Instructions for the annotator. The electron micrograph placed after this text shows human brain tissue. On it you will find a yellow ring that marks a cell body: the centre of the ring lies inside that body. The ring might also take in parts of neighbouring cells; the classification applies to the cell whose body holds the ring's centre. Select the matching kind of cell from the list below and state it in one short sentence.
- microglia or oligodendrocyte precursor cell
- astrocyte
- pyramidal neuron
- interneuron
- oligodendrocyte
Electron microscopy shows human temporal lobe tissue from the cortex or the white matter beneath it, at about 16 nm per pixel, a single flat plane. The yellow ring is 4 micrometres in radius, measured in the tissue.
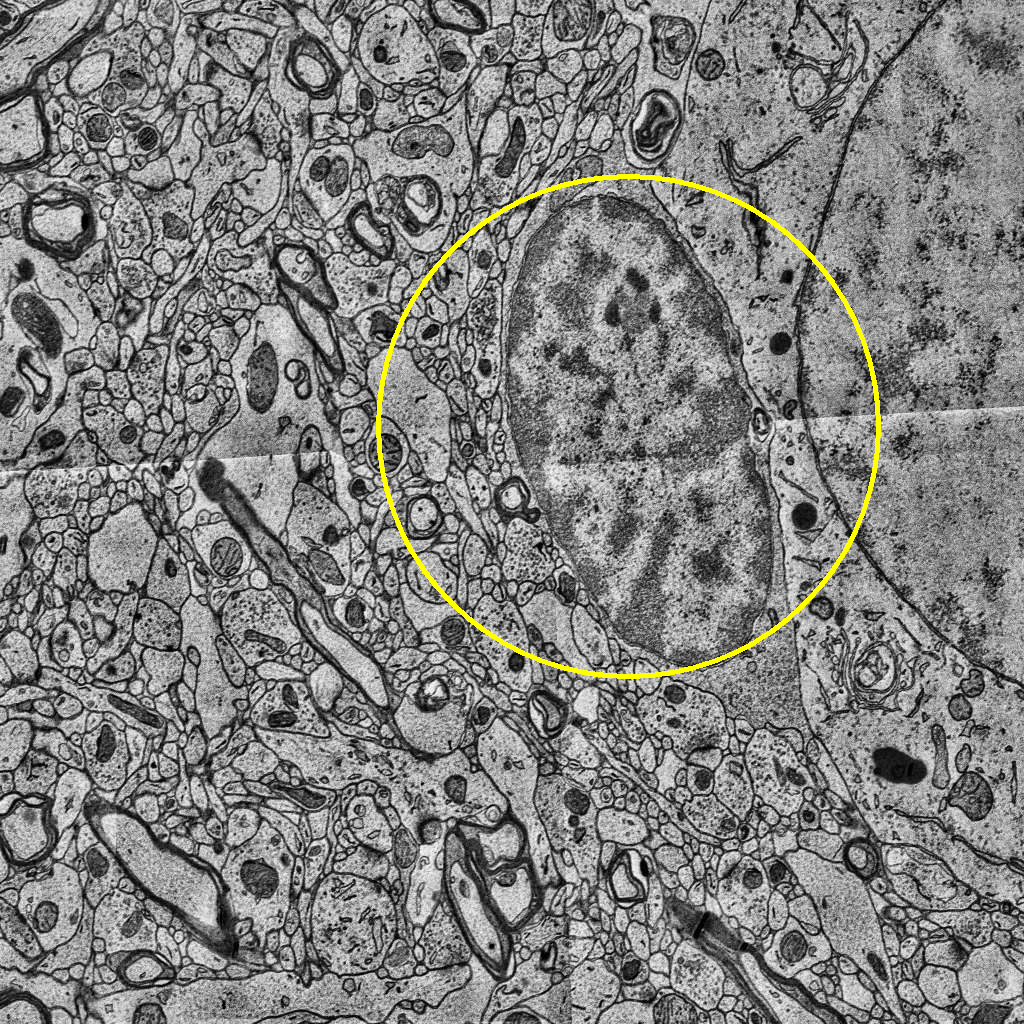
The centre of the ring lies in the cell body of an oligodendrocyte.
